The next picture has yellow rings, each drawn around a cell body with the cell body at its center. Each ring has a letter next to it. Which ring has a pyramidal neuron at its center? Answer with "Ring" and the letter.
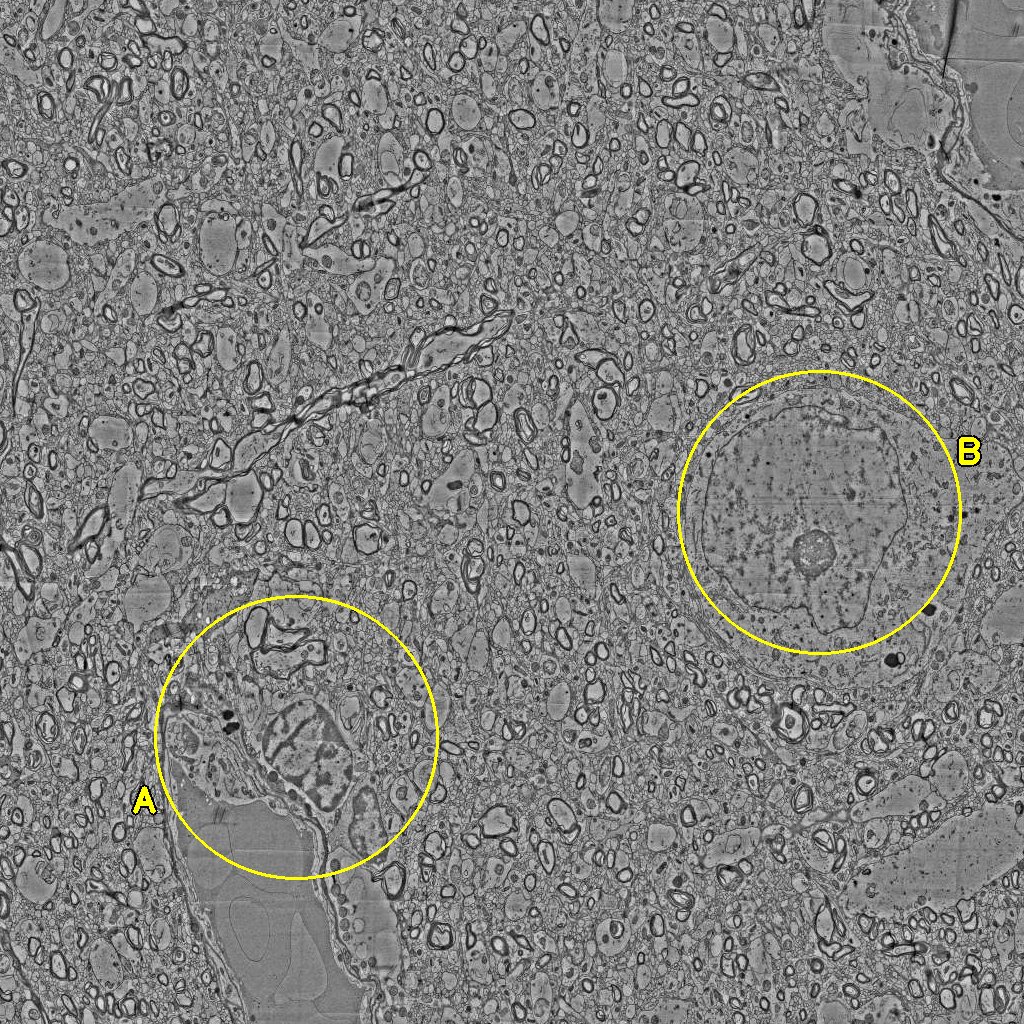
Ring B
